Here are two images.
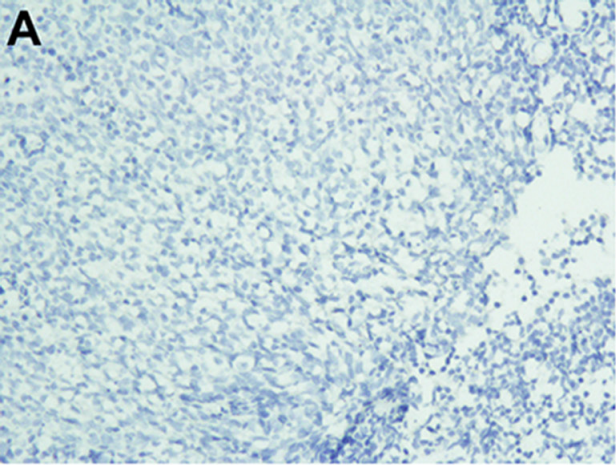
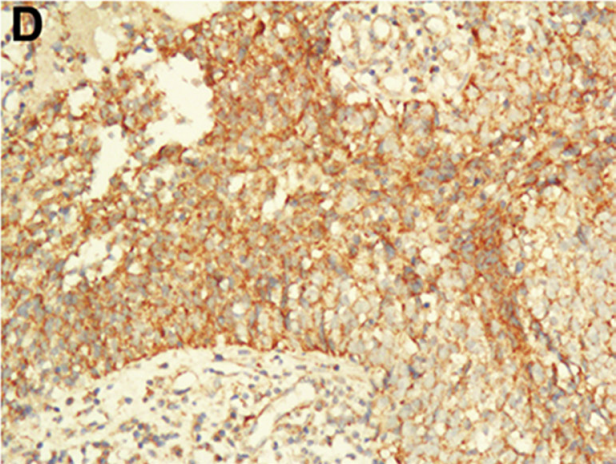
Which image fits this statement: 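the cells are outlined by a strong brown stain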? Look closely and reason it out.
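The second image. Second image: dense brown deposits line the borders of many cells across most of the field. First image: cells show only blue nuclei and pale blue background, with no brown deposit.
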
